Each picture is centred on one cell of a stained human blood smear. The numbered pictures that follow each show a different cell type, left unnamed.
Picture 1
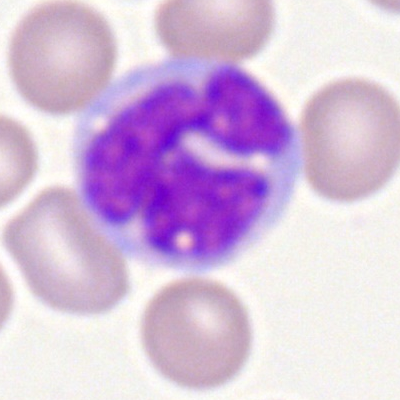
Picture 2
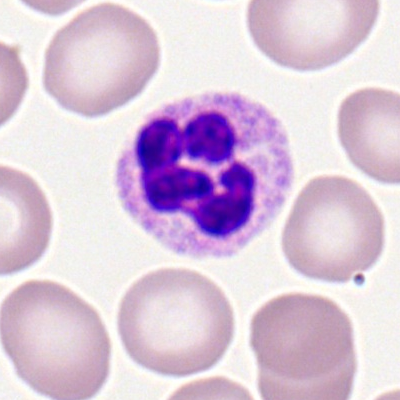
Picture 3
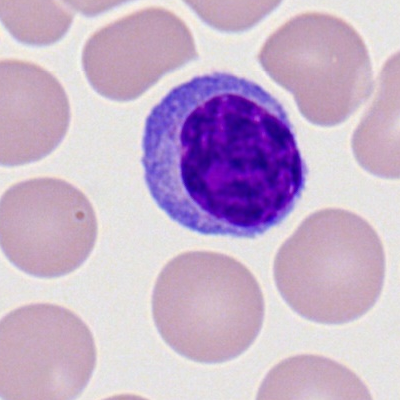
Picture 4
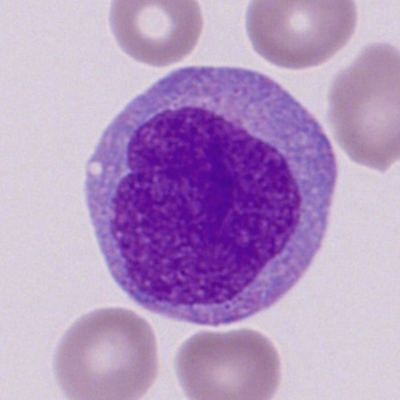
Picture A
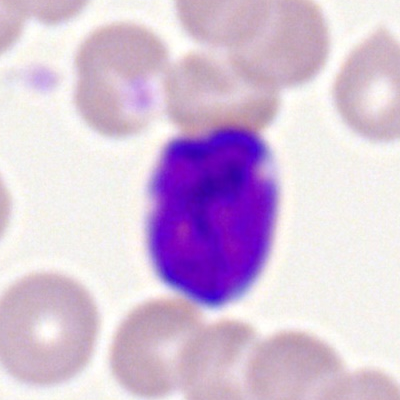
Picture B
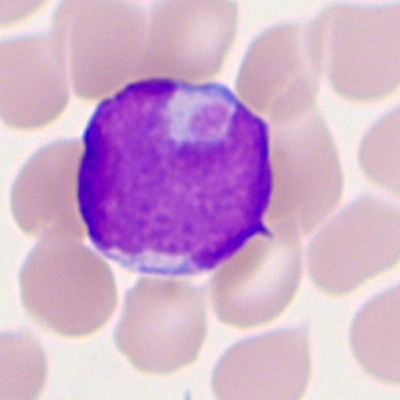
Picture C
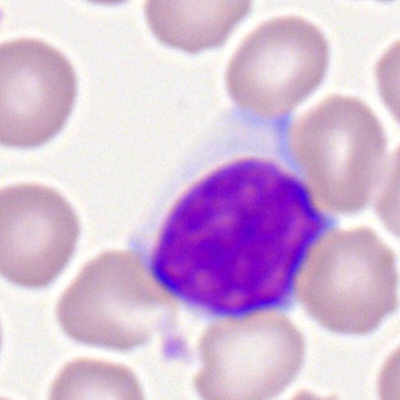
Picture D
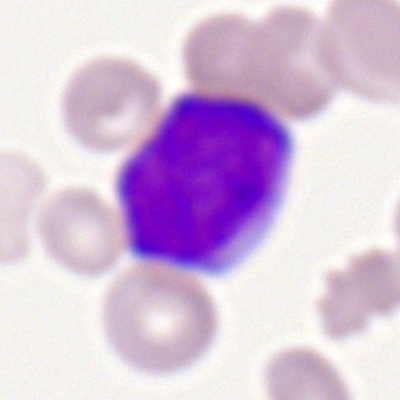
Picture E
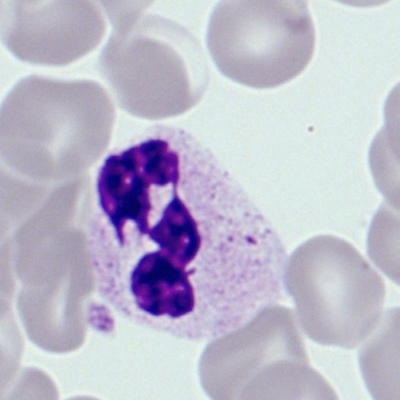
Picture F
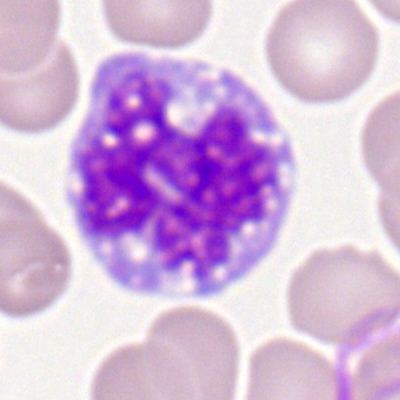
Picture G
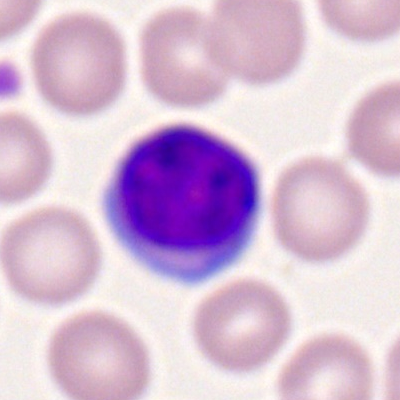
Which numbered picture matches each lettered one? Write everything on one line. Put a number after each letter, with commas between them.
A 4, B 4, C 3, D 4, E 2, F 1, G 3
